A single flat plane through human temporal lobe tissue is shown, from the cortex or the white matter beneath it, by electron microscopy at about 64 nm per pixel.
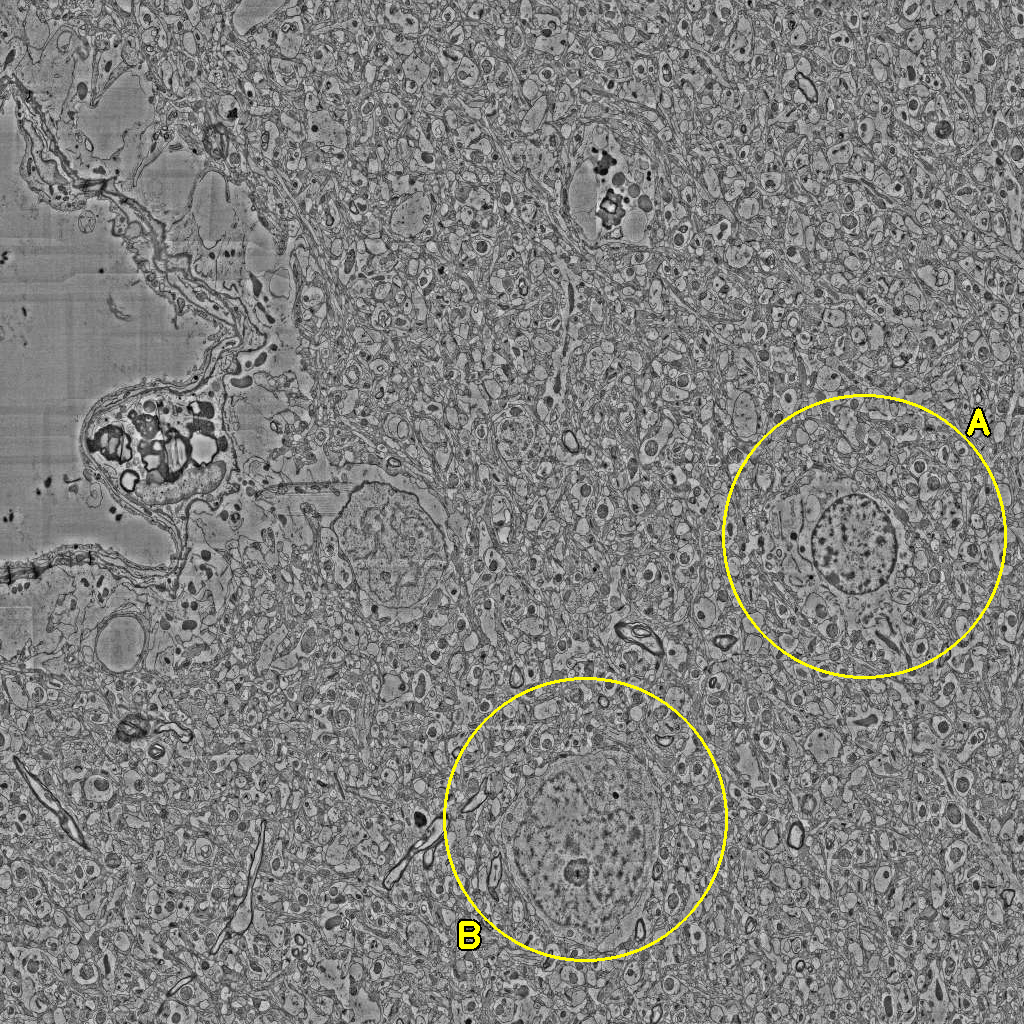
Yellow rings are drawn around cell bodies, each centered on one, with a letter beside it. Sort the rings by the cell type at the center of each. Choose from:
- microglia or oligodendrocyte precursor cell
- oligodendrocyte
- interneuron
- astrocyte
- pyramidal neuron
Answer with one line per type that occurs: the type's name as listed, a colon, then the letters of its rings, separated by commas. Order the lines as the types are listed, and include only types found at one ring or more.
interneuron: B
astrocyte: A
